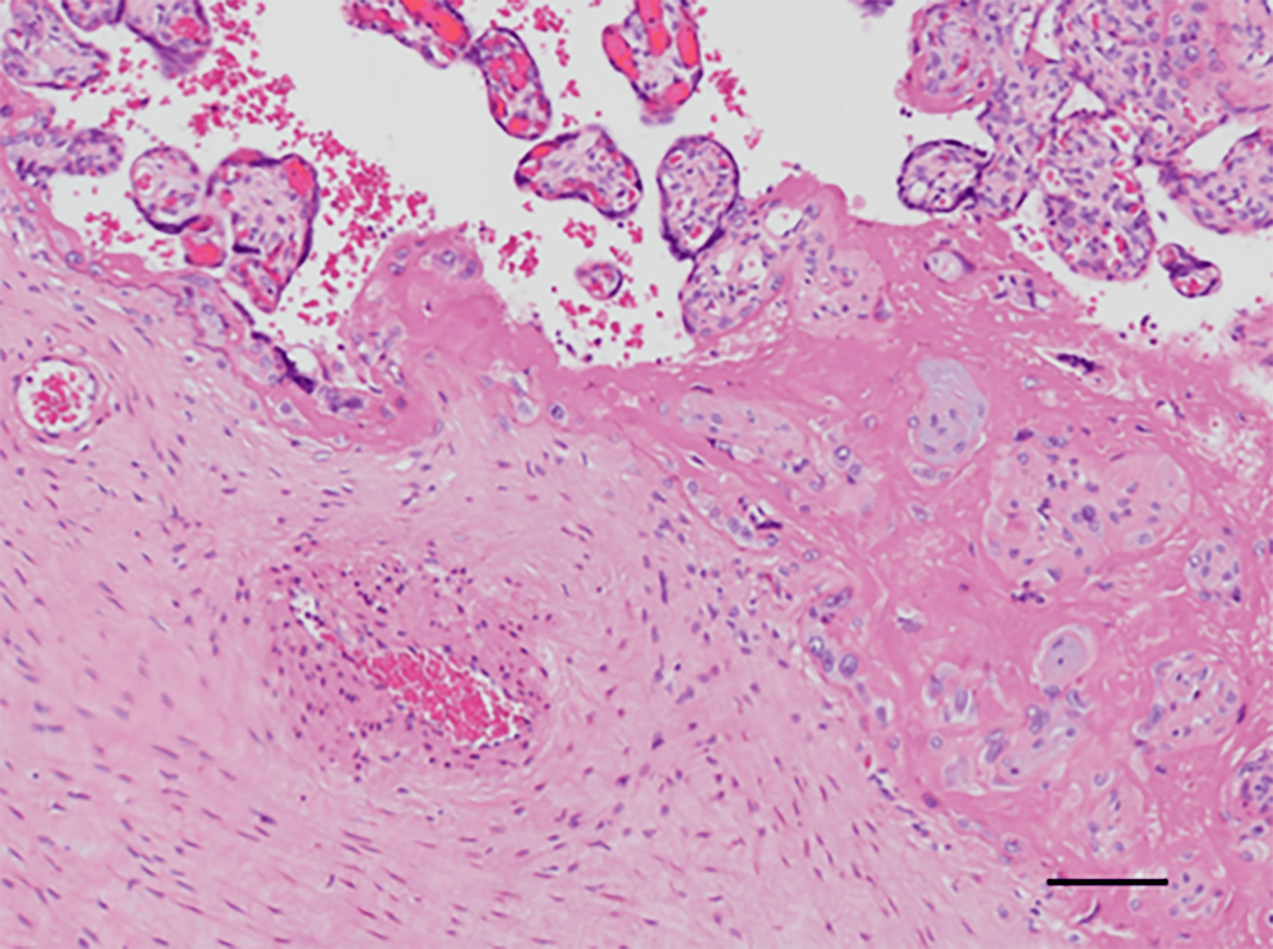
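A section of placenta shows chorionic villi in the intervillous space at the top, lying over a dense pink fibrous layer below. The free villi are rounded or lobed, with loose stroma, scattered nuclei and capillaries filled with red blood cells, and a dark purple trophoblast rim. Loose red blood cells fill the space between them. On the right, broad bands of homogeneous pale-pink acellular material surround and enclose villi, whose stroma looks pale and poorly cellular. Below, a layer of wavy elongated spindle-shaped nuclei in pink matrix contains a blood-filled vessel ringed by small dark cells.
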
